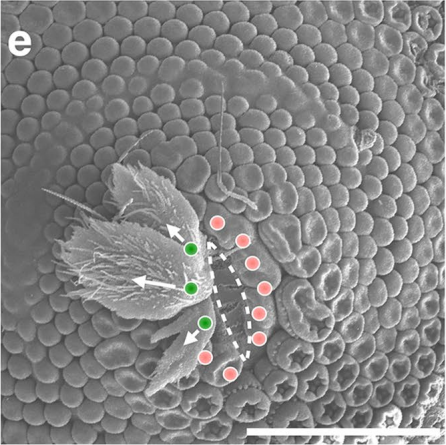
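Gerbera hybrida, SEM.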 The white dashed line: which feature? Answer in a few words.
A: Wound rim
